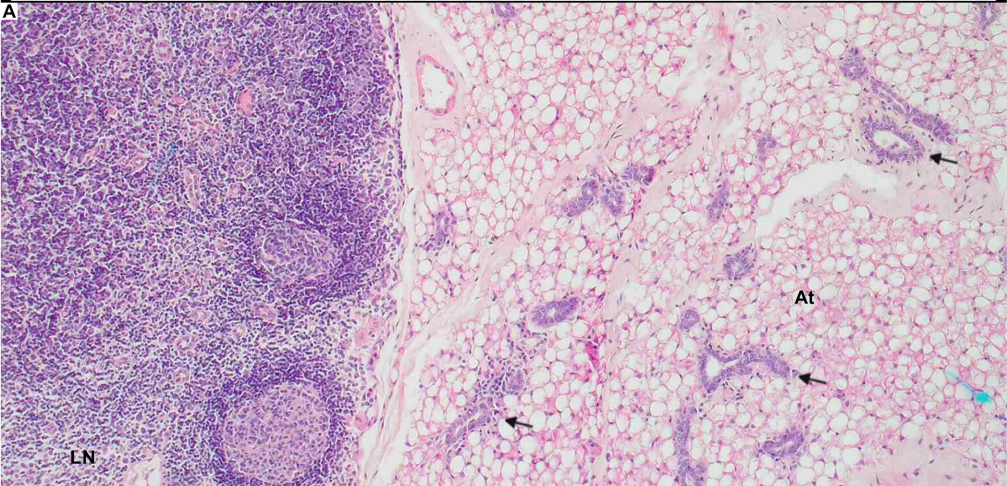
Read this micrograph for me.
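A lymph node and the adjacent mammary gland embedded in fat are seen side by side. On the left the lymph node is densely packed with small dark-purple lymphocytes and contains rounded paler follicles with darker rims. On the right, large empty-looking fat cells with thin pink walls make up most of the tissue. Scattered among the fat lie small, branching purple tubules of glandular epithelium with narrow lumens. Pink bands of connective tissue and a few vessels run between the fat lobules.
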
